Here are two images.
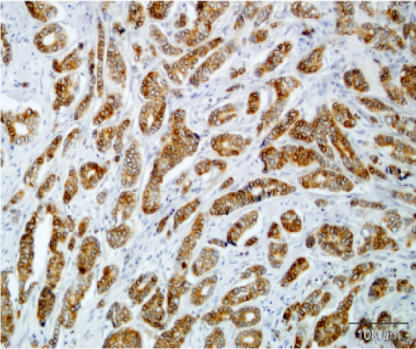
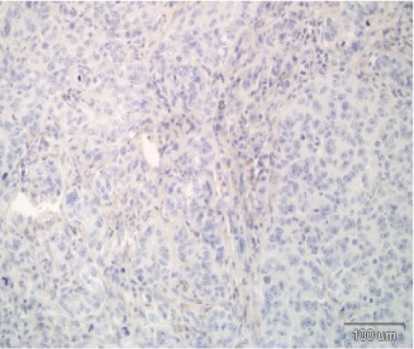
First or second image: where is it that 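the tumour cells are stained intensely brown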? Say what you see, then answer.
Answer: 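First image: nearly all tumour cell nests show strong brown cytoplasmic stain. Second image: tumour cells show only blue nuclei and no brown stain.
The first image.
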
